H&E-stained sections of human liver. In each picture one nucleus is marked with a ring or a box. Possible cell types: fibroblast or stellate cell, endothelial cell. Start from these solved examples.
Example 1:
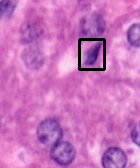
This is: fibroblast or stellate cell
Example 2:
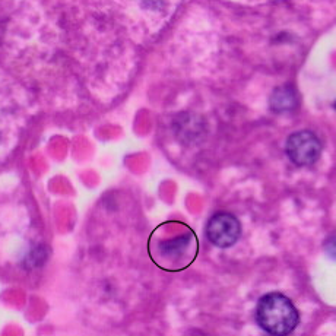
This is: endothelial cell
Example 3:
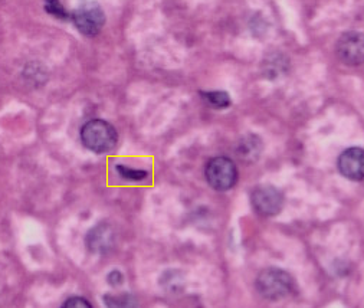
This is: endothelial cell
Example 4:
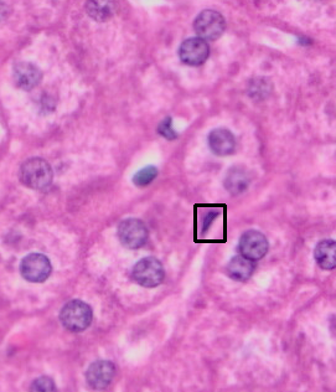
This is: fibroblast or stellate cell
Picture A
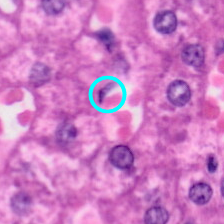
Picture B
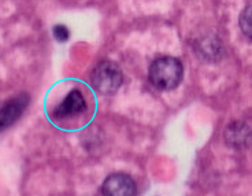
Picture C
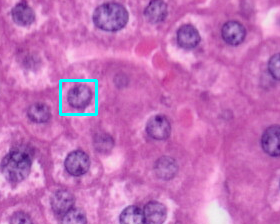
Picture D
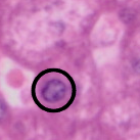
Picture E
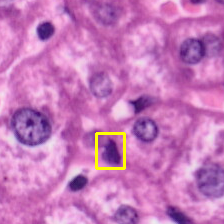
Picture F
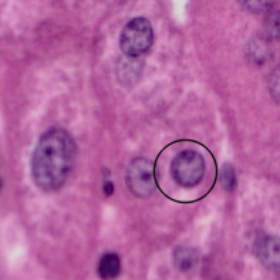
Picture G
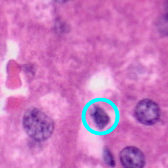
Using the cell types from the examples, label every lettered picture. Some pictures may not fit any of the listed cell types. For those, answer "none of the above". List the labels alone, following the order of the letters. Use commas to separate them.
endothelial cell, fibroblast or stellate cell, none of the above, none of the above, fibroblast or stellate cell, none of the above, endothelial cell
